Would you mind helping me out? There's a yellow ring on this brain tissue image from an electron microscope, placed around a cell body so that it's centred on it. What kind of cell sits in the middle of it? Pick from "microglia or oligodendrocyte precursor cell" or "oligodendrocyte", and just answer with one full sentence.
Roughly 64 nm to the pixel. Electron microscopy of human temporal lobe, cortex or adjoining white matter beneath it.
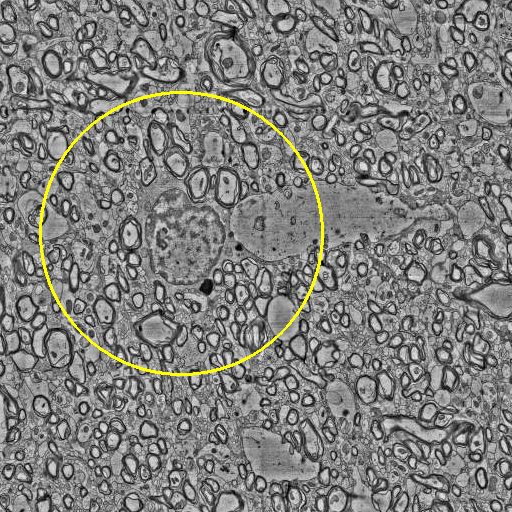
What sits in the middle of that yellow ring is an oligodendrocyte, from your choices.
